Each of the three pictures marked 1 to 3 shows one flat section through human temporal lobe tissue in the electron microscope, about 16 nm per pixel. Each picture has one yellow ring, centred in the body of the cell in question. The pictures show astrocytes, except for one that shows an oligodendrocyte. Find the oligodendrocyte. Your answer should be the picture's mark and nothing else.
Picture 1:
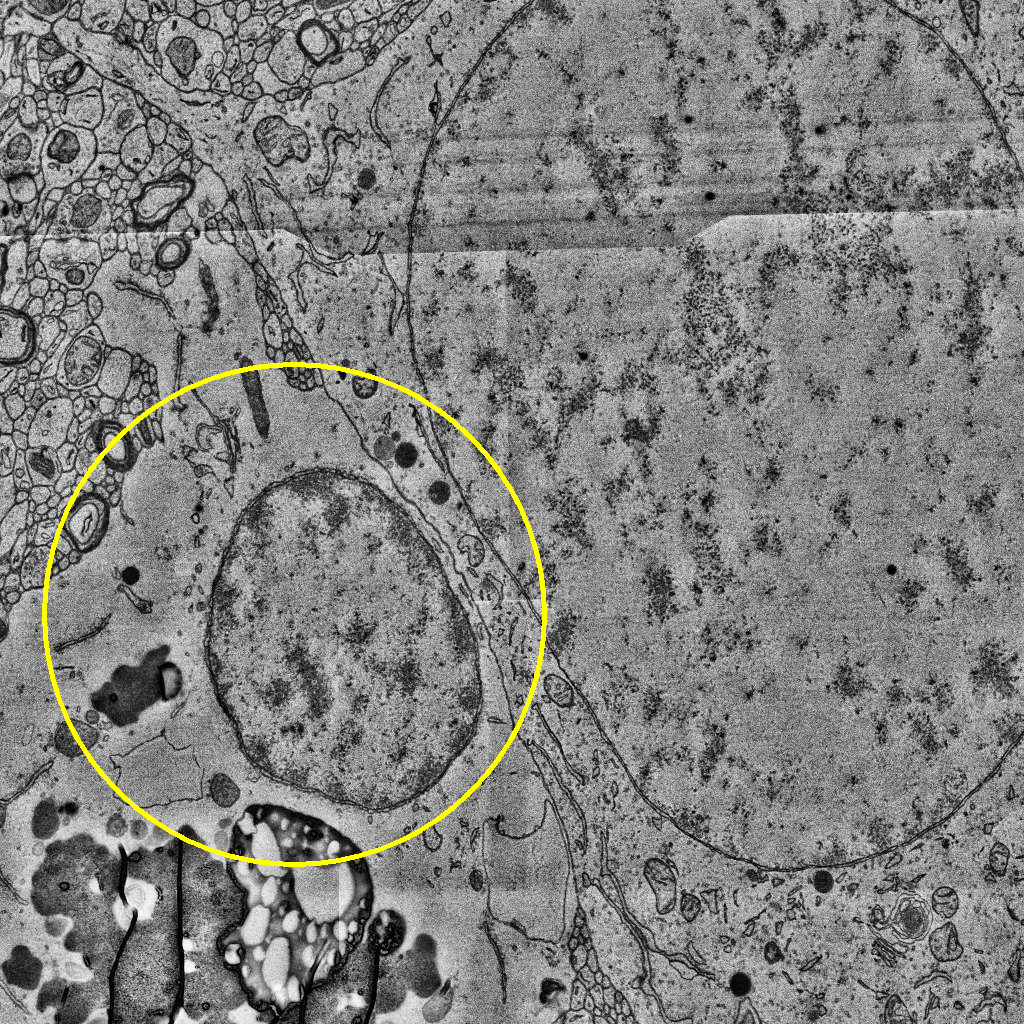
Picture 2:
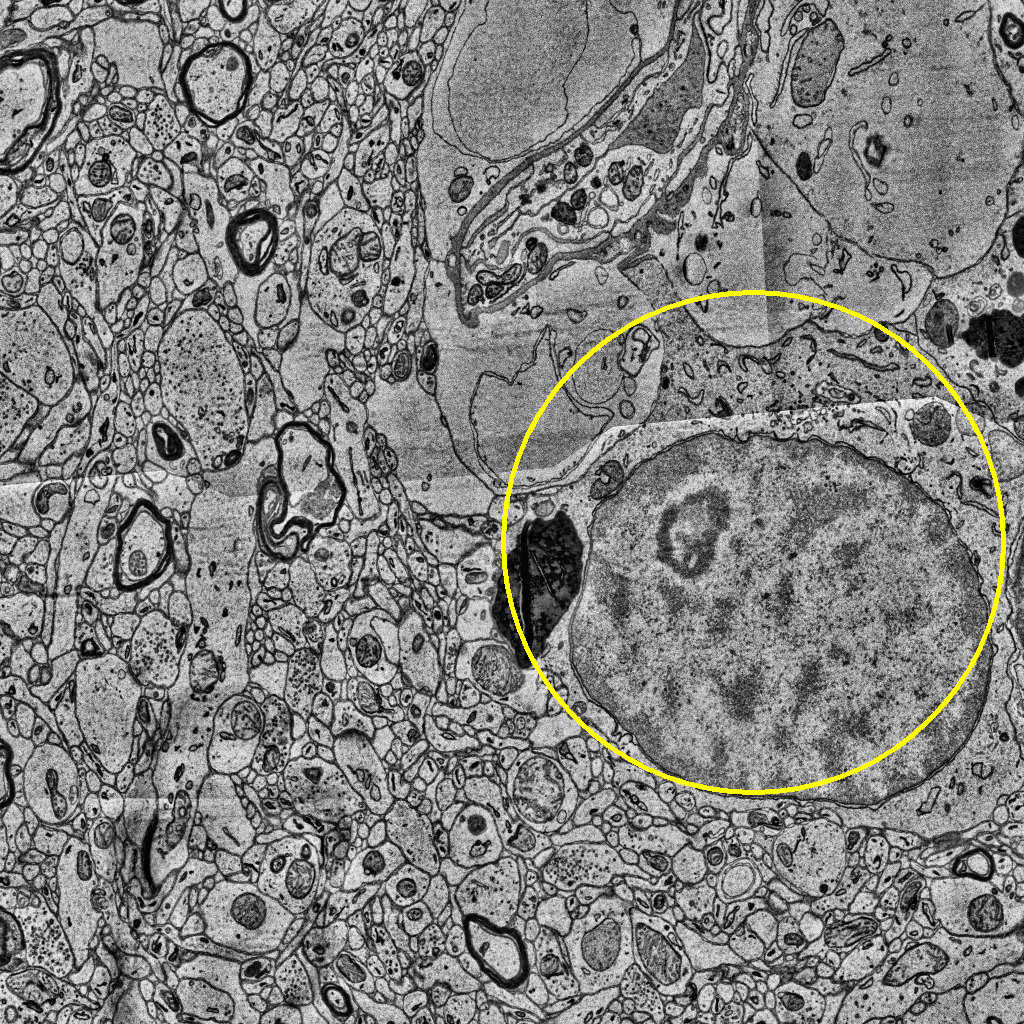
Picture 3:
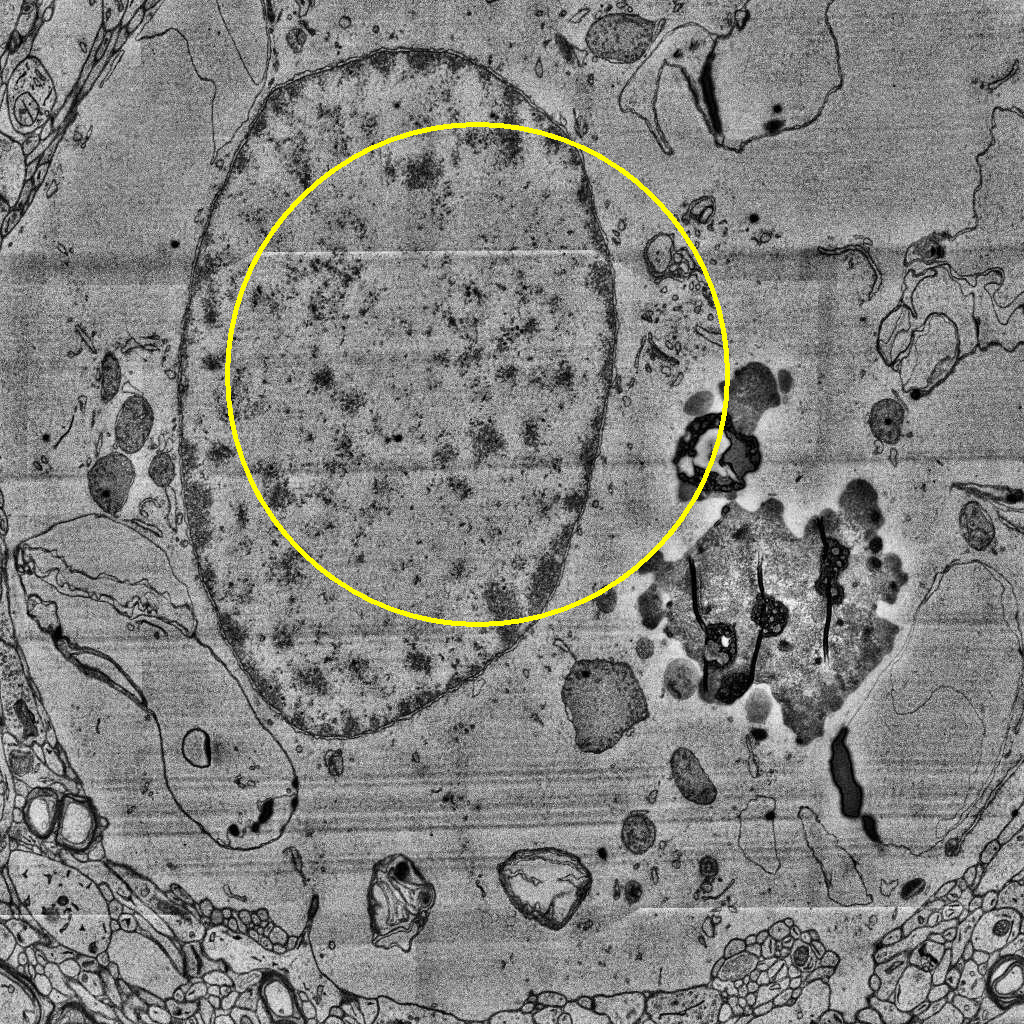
2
